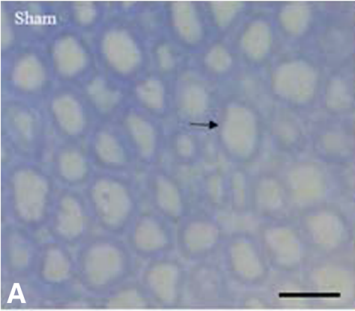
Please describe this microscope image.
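This is a cross-section of a peripheral nerve, showing myelinated nerve fibers cut across. Each fiber appears as a pale round or oval axon enclosed by a dark blue ring of myelin.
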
